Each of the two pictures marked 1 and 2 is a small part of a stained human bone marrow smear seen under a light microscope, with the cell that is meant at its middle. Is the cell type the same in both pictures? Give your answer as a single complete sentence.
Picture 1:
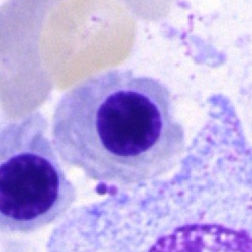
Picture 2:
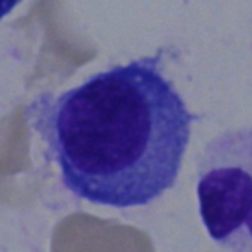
No, they differ: the cell is an erythroblast in picture 1 and a plasma cell in picture 2.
